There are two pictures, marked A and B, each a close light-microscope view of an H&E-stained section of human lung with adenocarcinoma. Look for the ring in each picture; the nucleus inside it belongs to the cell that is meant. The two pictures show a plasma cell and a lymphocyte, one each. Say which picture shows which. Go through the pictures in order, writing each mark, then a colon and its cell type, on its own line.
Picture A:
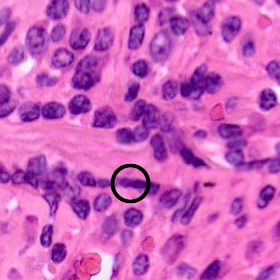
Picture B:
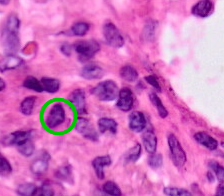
A: lymphocyte
B: plasma cell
